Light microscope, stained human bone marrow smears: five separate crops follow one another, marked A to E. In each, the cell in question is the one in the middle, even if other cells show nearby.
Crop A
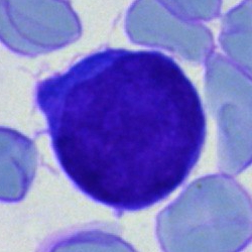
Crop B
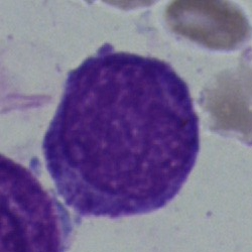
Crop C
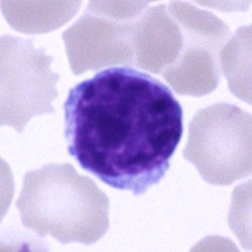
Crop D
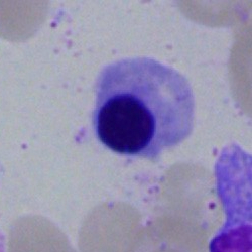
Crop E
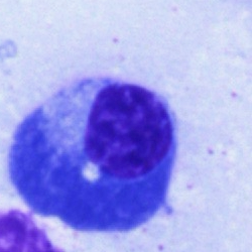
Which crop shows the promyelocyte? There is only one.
B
